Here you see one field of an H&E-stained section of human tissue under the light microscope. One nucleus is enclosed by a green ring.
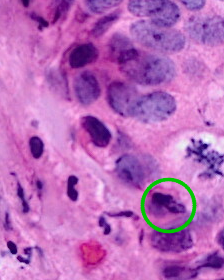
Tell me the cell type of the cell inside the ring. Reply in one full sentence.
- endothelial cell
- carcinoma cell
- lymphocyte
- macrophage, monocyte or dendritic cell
This is a carcinoma cell.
